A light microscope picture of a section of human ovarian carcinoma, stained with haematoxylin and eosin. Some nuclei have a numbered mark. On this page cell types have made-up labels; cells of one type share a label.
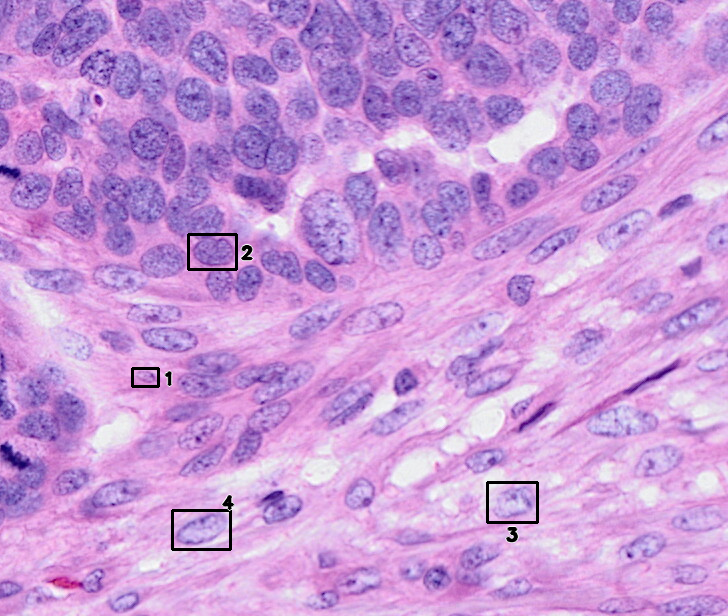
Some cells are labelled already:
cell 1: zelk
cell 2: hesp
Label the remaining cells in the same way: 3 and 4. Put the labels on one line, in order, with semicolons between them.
zelk; zelk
